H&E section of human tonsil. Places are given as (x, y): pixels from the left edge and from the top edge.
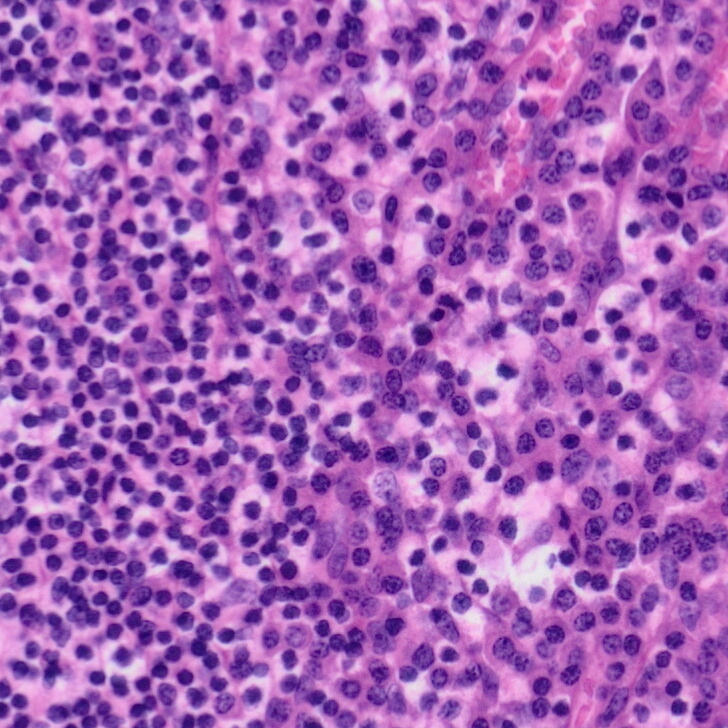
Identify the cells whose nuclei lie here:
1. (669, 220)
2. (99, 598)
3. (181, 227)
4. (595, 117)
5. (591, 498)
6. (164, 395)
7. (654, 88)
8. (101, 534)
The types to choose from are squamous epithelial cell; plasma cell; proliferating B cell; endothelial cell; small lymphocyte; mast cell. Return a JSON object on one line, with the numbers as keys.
{"1": "plasma cell", "2": "small lymphocyte", "3": "small lymphocyte", "4": "plasma cell", "5": "plasma cell", "6": "small lymphocyte", "7": "plasma cell", "8": "small lymphocyte"}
